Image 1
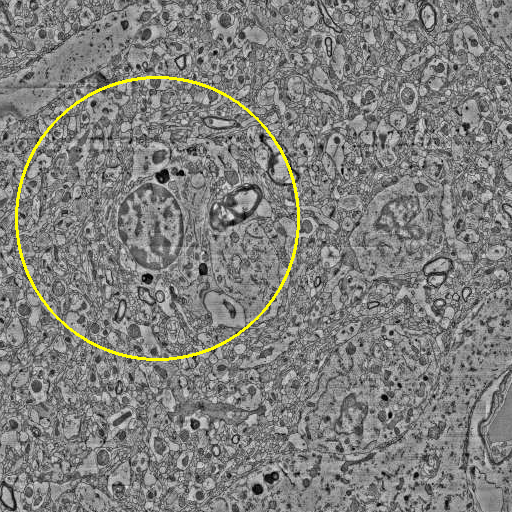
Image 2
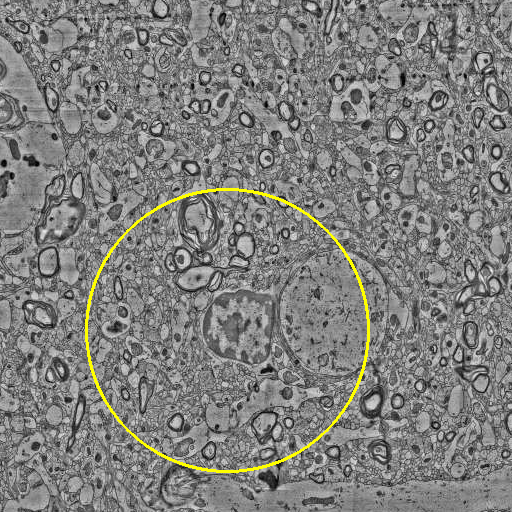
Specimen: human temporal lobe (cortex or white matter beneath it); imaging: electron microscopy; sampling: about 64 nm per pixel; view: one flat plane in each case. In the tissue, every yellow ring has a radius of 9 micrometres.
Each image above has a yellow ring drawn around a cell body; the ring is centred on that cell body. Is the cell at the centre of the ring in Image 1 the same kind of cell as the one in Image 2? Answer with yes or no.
yes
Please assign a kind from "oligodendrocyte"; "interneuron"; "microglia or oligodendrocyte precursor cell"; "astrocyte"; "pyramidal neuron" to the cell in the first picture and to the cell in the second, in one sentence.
In both pictures the ring is centred on a microglial cell or oligodendrocyte precursor cell.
